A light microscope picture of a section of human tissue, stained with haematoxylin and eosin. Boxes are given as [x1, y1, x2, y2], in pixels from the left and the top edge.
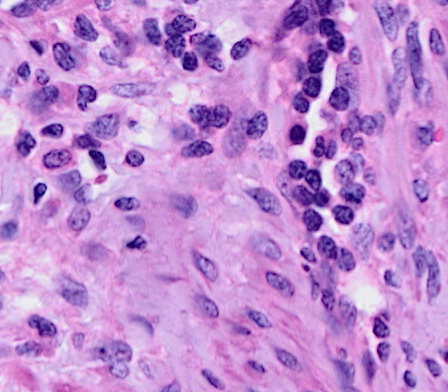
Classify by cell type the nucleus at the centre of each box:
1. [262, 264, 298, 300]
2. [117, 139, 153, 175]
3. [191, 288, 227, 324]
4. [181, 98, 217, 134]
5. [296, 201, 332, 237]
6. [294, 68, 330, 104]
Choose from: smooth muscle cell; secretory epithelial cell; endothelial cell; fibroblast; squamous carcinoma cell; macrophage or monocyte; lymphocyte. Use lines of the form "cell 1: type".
cell 1: smooth muscle cell
cell 2: lymphocyte
cell 3: smooth muscle cell
cell 4: lymphocyte
cell 5: lymphocyte
cell 6: lymphocyte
